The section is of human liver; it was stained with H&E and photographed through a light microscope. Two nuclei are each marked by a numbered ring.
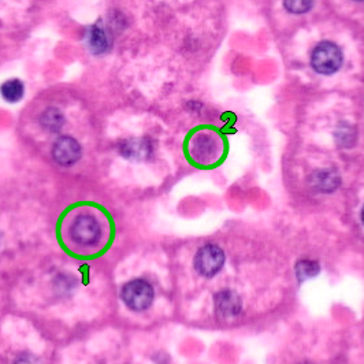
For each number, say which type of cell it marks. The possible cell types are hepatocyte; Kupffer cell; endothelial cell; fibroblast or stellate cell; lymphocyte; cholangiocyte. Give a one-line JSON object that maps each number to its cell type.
{"1": "hepatocyte", "2": "Kupffer cell"}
